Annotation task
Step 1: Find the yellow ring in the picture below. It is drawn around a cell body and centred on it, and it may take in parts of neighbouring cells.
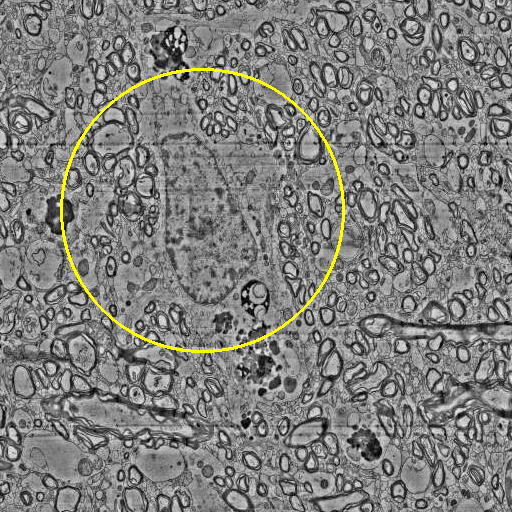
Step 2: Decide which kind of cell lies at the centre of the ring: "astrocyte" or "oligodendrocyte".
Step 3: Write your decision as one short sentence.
The kind of cell at the ring's centre is an astrocyte.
